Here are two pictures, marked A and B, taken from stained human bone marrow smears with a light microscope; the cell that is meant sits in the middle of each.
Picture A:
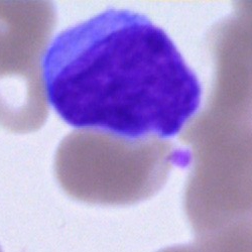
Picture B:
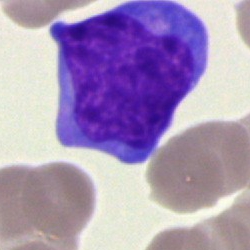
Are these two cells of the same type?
yes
